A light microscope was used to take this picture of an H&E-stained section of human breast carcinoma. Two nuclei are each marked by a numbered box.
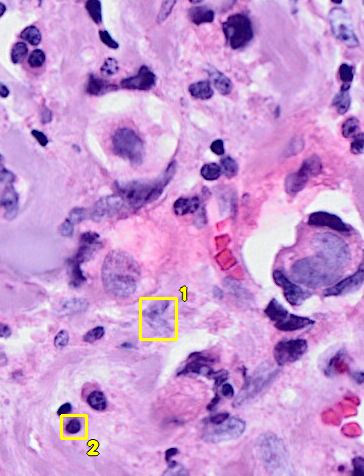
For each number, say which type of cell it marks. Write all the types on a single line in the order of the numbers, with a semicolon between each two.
fibroblast; lymphocyte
